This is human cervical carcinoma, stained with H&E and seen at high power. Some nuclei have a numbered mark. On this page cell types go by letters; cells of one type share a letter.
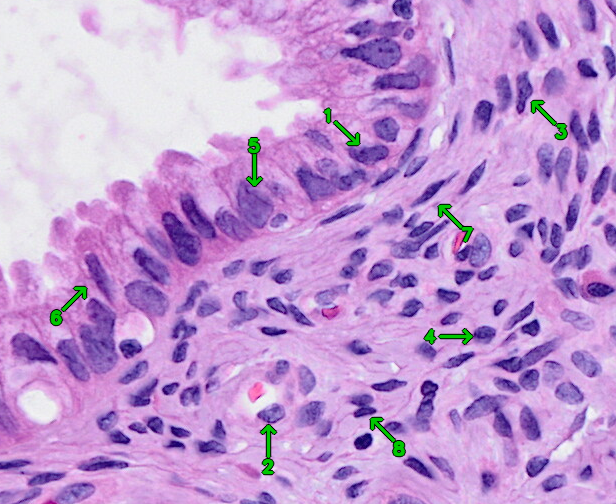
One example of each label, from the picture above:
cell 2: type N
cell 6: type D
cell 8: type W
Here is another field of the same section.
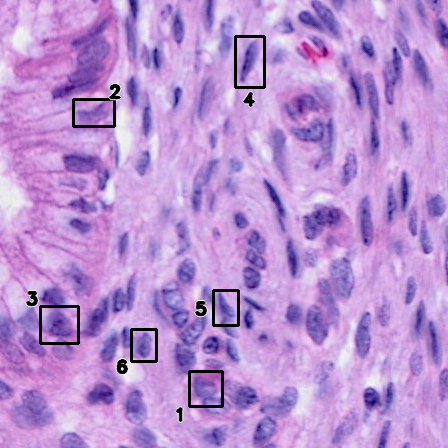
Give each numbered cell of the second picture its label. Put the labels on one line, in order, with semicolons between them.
type N; type D; type D; type W; type W; type W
